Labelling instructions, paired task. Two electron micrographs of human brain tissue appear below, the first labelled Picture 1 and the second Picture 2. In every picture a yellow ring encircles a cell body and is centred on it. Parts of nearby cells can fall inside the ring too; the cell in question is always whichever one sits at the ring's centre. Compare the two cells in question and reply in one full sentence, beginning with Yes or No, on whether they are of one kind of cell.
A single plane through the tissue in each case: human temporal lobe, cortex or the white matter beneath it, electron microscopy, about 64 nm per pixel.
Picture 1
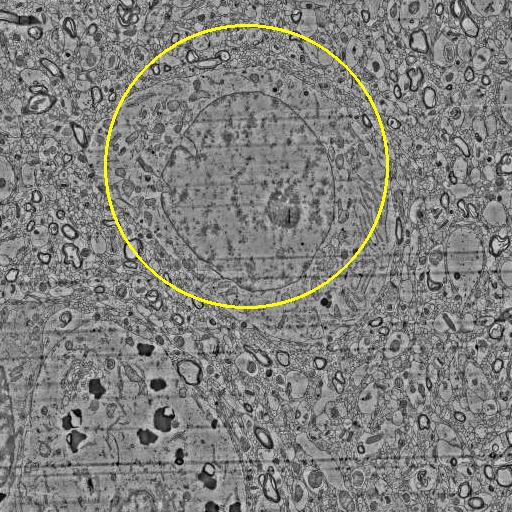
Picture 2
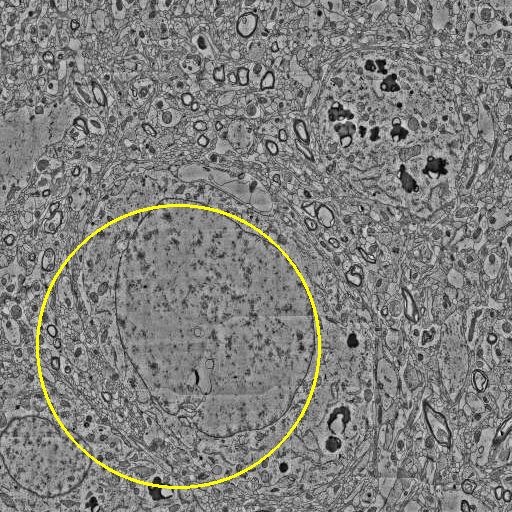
No, the two cells at the ring centres in Picture 1 and Picture 2 are of two kinds.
